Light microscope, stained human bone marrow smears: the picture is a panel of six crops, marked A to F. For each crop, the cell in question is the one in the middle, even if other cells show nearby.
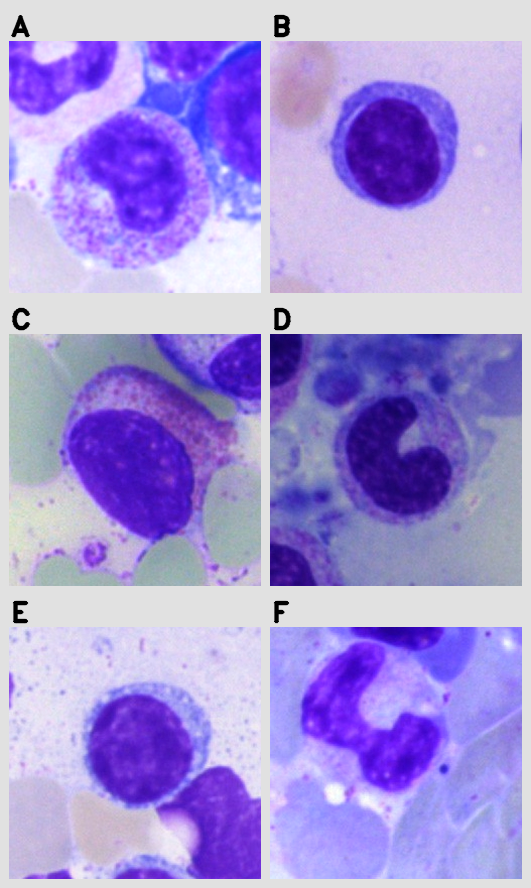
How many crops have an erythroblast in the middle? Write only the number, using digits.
0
